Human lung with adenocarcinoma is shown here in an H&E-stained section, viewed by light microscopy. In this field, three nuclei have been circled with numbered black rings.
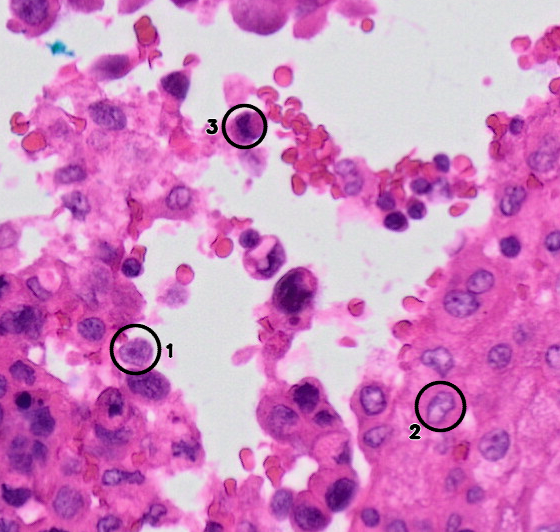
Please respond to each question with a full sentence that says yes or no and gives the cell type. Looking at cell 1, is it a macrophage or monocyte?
No, cell 1 is classified as a carcinoma cell rather than a macrophage or monocyte.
